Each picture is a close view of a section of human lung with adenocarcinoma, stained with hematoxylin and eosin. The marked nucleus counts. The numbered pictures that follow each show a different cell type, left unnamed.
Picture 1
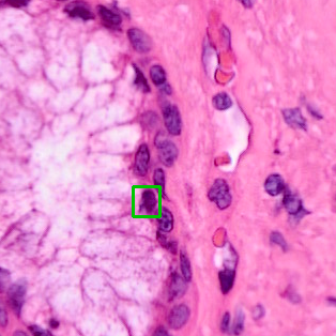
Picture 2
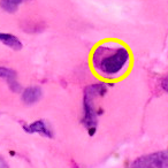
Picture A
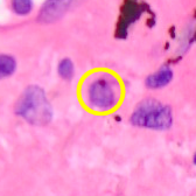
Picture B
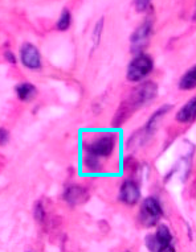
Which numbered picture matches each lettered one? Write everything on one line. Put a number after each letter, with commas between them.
A 2, B 2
